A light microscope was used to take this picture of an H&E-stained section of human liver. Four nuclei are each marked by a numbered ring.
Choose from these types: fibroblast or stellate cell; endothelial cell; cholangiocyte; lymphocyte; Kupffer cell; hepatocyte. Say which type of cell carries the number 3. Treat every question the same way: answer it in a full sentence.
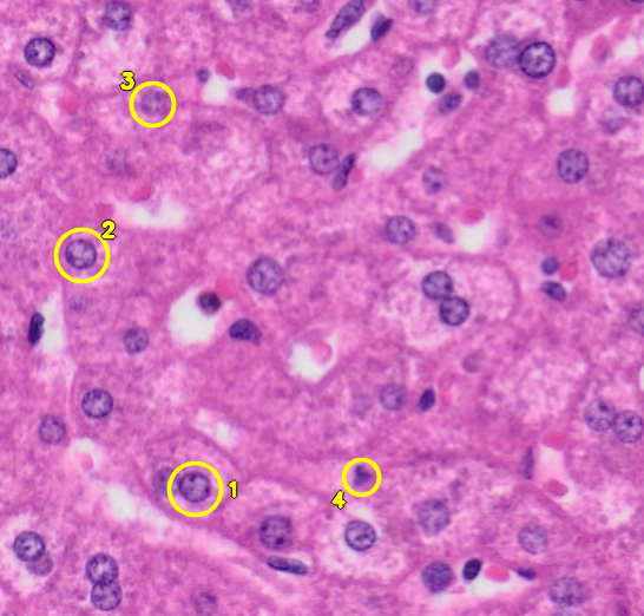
Of the numbered cells, the one labelled 3 is a hepatocyte.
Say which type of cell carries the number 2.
The cell with the number 2 is a hepatocyte.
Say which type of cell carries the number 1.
The cell identified by the number 1 is a hepatocyte.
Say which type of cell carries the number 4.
Classified as an endothelial cell is the cell with the number 4.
